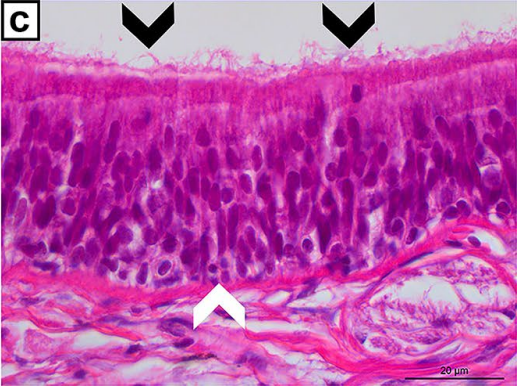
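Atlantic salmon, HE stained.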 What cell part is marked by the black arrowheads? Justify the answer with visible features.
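Fine hair-like projections rise from the apical surface of the epithelium. They form a fringe along the whole free surface.
Cilia.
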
